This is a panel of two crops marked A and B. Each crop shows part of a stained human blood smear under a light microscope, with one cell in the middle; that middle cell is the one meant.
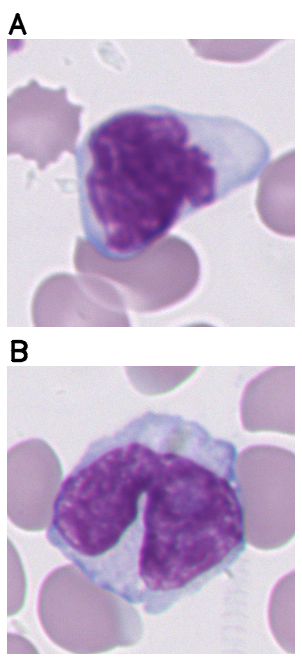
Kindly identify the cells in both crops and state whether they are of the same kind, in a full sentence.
Yes, both crops have myeloblasts as their central cells.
